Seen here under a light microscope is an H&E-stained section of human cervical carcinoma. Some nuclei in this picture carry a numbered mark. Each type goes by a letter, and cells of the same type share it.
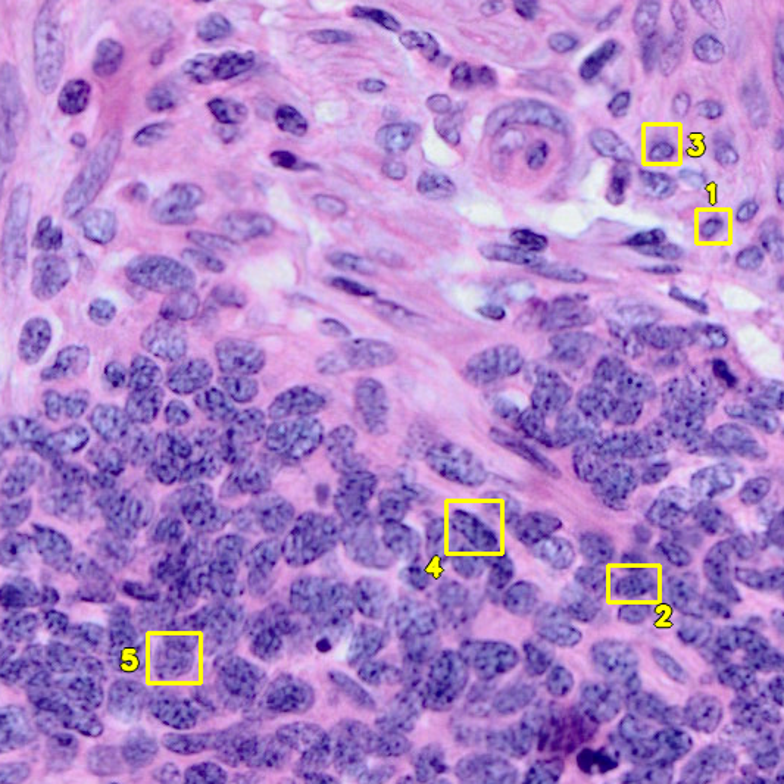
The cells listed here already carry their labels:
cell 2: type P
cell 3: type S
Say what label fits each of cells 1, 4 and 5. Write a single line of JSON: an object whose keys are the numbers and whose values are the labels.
{"1": "type S", "4": "type P", "5": "type P"}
